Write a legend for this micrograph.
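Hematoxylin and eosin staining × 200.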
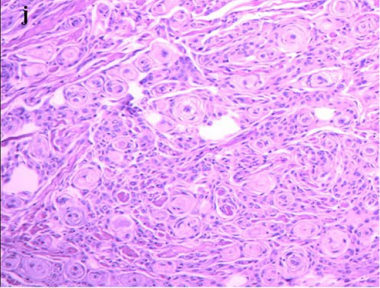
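The section shows meningioma tissue made of epithelial-like cells with pink cytoplasm, grouped into nests. Throughout the field many cells wrap concentrically around one another, forming small round whorls. The nuclei are round to oval, fairly uniform and purple, set in ample pink cytoplasm with indistinct cell borders. A few small clear spaces lie among the cell groups.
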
